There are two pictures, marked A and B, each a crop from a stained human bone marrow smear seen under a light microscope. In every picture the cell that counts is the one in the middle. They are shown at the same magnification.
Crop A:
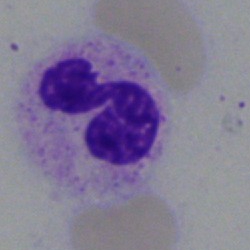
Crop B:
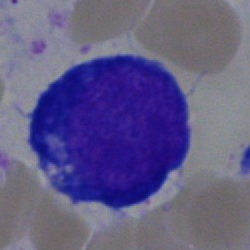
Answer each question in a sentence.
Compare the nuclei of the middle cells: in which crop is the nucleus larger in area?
Crop B shows the larger nucleus; it covers about 2 times the area of the nucleus in crop A.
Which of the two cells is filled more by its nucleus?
The nucleus fills more of the cell in crop B than in crop A.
